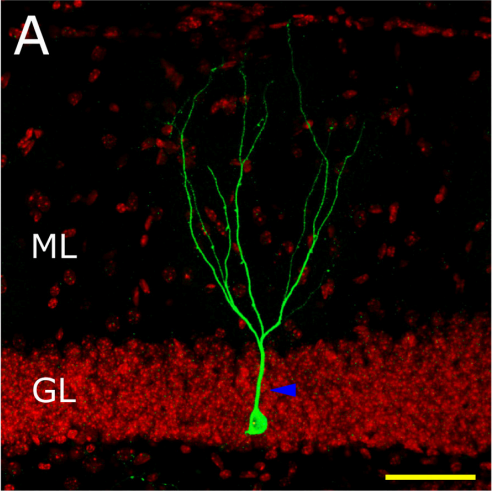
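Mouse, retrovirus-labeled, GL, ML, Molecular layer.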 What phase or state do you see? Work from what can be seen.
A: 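One stem rises from the cell body and splits into branches above. The branches fan upward into the upper layer. That points to this answer: “Y-shape”.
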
